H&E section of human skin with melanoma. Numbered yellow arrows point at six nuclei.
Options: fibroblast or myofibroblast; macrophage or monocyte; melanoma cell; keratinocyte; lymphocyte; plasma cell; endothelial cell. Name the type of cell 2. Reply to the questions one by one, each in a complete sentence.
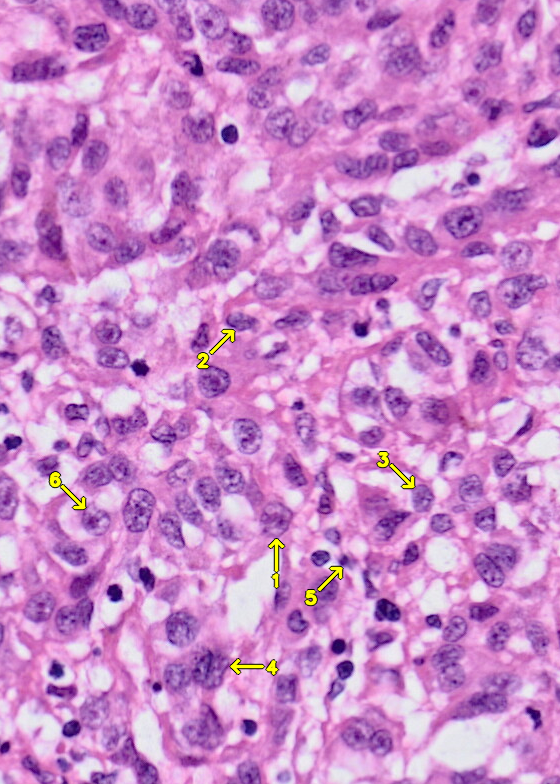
The one numbered 2 among the marked cells is a macrophage or monocyte.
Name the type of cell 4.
The cell marked with number 4 is a melanoma cell.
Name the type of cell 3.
The cell that is numbered 3 is a melanoma cell.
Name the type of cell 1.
The cell indicated by marker 1 is a melanoma cell in this section.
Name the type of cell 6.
Cell 6 of the marked set is a melanoma cell.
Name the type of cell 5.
In this section, the cell tagged 5 is a lymphocyte.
